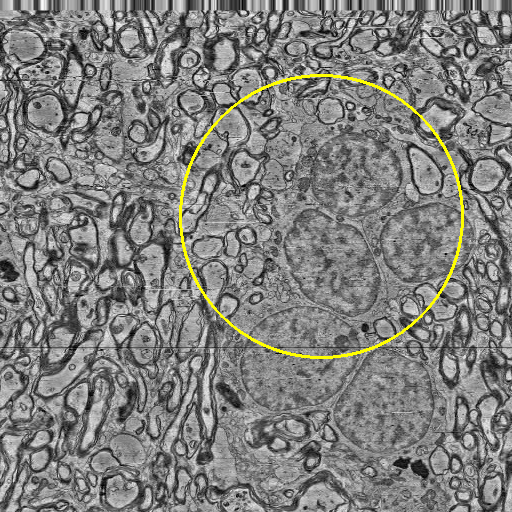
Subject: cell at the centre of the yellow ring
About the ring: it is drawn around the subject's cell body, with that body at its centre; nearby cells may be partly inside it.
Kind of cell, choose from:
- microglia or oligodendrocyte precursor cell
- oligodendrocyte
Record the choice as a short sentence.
The subject cell is an oligodendrocyte.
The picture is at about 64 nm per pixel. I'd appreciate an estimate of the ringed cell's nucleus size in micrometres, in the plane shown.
In this plane, the nucleus is roughly 8 by 5 micrometres.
